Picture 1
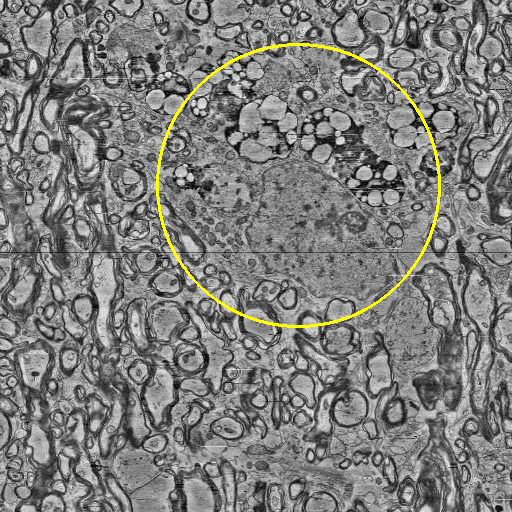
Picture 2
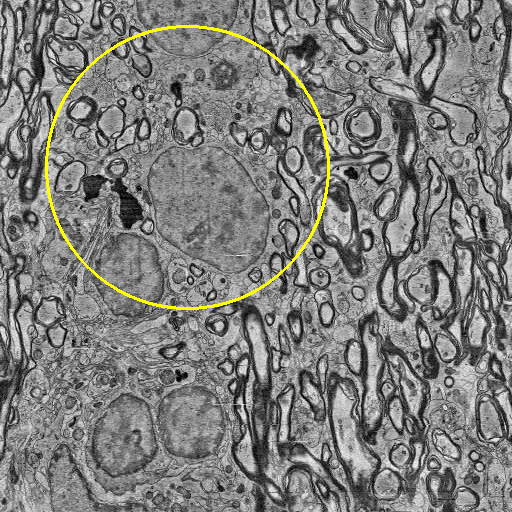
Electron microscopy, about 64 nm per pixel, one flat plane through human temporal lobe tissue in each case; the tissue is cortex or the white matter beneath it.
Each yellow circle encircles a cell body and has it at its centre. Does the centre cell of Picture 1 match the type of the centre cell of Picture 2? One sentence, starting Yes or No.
No, the cell centred in Picture 1 and the one in Picture 2 have separate types.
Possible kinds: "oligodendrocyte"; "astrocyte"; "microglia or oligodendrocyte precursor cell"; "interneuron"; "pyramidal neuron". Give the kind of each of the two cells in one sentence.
The cell in the second picture is an oligodendrocyte, and that in the first is an astrocyte.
